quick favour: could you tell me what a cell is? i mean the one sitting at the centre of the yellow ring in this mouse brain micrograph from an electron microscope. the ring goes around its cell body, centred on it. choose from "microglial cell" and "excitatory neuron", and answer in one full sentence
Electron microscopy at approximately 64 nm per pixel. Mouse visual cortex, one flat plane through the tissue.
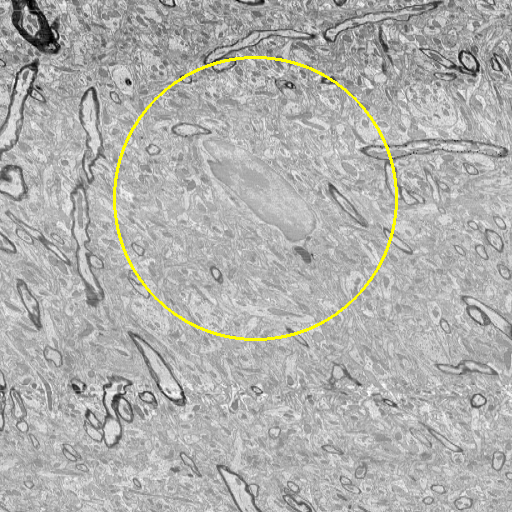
That's a microglial cell, the cell sitting at the centre of the yellow ring.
